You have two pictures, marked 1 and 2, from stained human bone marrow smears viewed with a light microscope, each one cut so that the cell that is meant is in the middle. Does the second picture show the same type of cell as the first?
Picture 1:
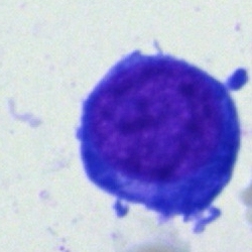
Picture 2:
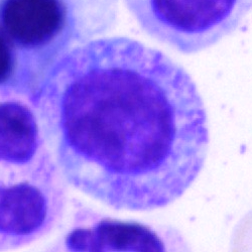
no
